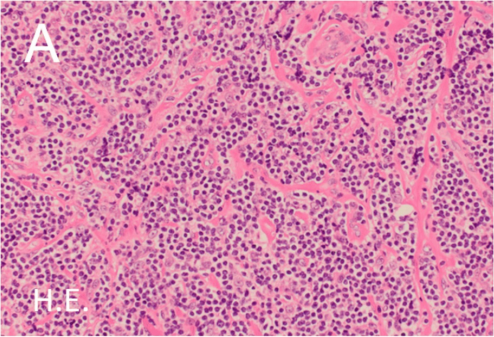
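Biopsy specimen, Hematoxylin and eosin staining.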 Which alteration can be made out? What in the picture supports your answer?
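The round cells fill the whole field without forming follicles. That points to this answer: diffusely infiltrated.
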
